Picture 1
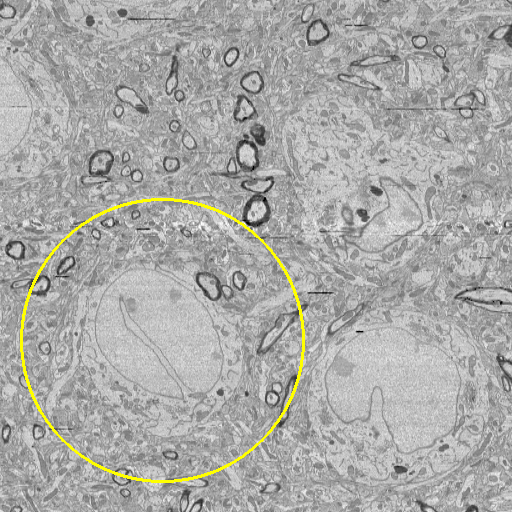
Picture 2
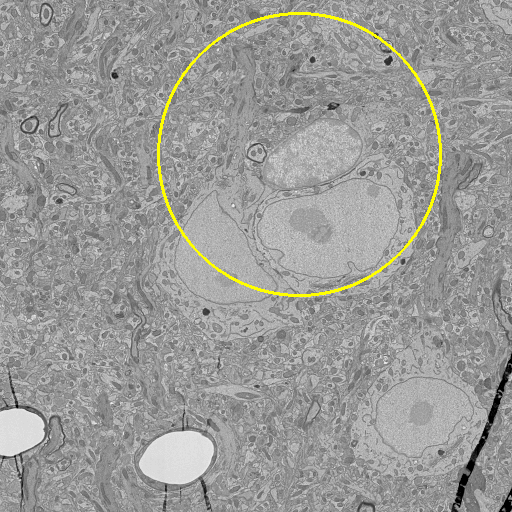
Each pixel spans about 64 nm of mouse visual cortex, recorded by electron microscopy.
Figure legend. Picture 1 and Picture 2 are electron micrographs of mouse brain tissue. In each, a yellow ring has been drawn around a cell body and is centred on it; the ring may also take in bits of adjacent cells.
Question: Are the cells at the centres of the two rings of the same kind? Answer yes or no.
no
